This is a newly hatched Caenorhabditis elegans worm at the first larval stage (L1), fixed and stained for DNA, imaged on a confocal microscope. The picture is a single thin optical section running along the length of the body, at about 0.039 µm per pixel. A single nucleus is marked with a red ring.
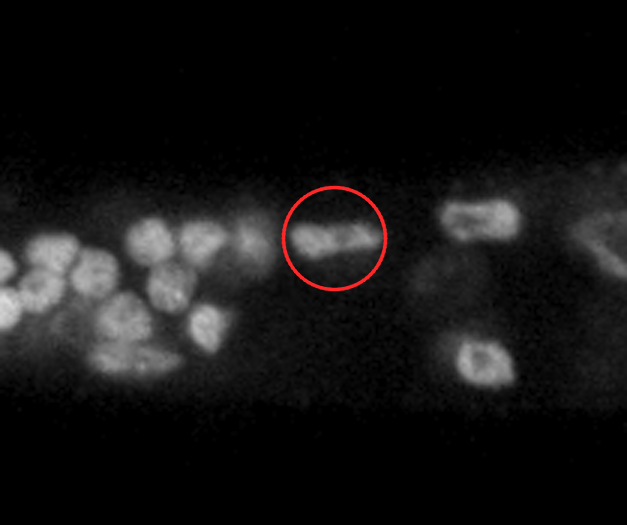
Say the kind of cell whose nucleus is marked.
enteric muscle cell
